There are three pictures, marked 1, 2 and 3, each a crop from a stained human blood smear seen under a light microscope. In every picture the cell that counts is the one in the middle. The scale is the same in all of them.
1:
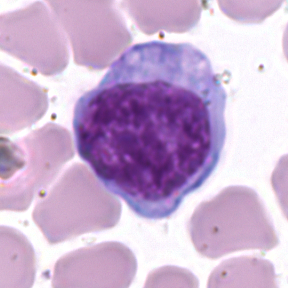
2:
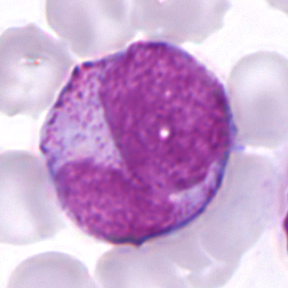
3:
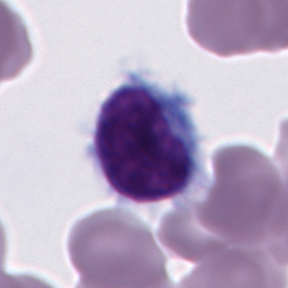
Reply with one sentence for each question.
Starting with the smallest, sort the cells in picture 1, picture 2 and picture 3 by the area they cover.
Smallest first: 3, 1, 2.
